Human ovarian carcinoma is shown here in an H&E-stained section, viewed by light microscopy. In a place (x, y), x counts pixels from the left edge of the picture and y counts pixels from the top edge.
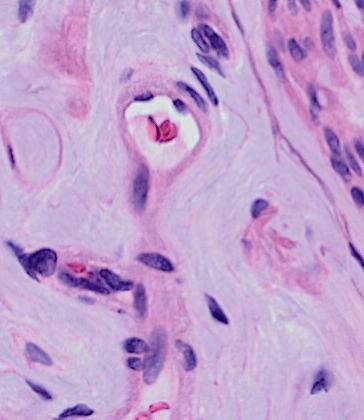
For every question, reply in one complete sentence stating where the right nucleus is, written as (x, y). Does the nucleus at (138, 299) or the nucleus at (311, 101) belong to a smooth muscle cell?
It is the nucleus at (311, 101) that belongs to a smooth muscle cell.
